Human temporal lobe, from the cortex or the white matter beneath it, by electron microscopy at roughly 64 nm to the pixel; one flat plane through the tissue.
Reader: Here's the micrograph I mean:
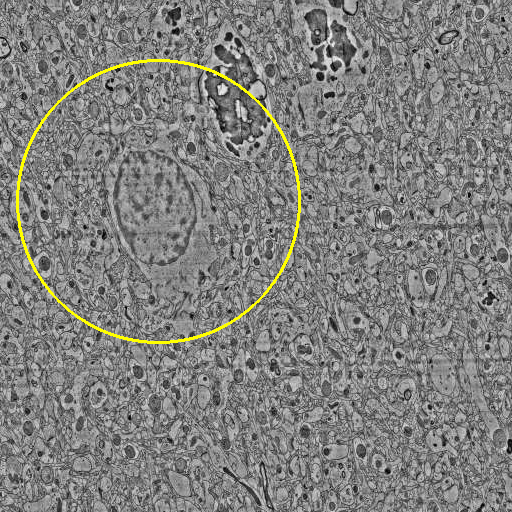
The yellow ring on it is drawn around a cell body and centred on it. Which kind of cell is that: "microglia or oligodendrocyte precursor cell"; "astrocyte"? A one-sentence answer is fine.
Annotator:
The ring is centred on an astrocyte.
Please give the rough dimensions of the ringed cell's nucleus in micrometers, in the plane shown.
The nucleus comes to roughly 7 by 5 micrometres in this plane.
